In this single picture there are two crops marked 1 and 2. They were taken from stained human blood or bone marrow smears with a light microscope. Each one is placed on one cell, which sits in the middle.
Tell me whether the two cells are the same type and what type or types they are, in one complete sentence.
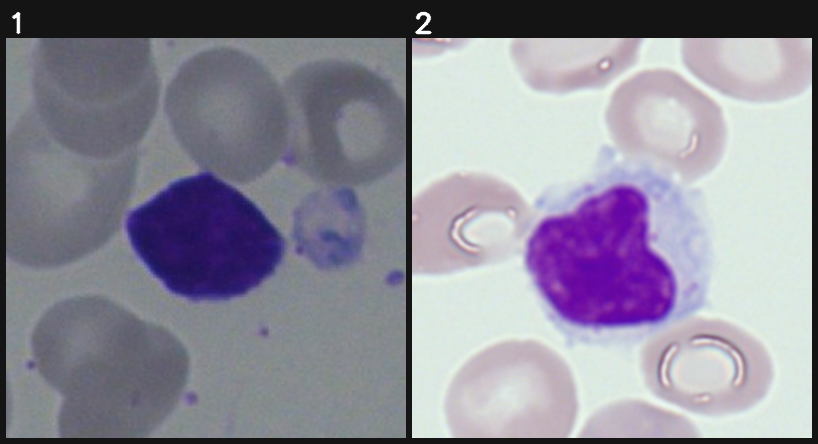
Yes, both crops are centred on cells that are lymphocytes.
